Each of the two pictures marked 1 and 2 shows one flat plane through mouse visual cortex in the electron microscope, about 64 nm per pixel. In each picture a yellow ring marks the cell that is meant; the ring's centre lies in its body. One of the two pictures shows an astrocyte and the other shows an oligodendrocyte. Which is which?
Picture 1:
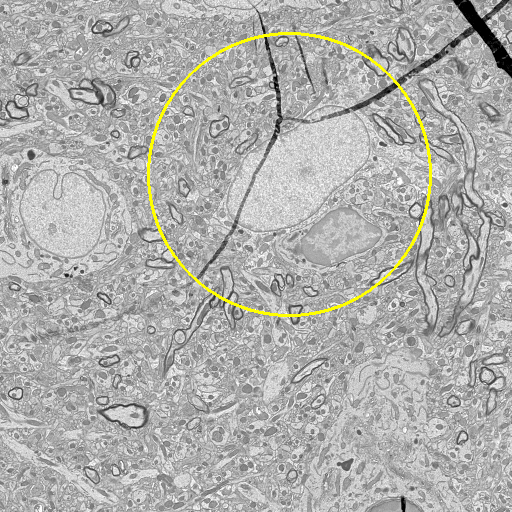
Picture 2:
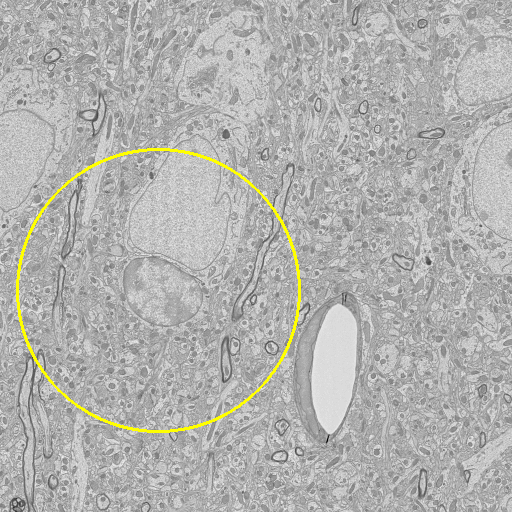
Picture 1 is of an astrocyte, and picture 2 is of an oligodendrocyte.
